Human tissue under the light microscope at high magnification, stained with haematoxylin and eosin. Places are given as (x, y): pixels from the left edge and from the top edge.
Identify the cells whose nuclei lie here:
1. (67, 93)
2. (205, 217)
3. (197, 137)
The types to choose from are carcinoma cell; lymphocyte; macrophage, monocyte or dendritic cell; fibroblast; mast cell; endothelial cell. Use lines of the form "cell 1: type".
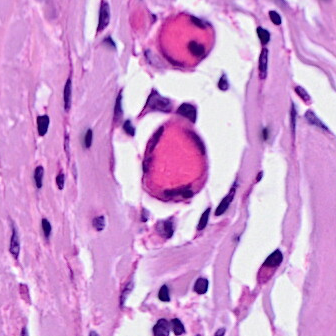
cell 1: fibroblast
cell 2: fibroblast
cell 3: endothelial cell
